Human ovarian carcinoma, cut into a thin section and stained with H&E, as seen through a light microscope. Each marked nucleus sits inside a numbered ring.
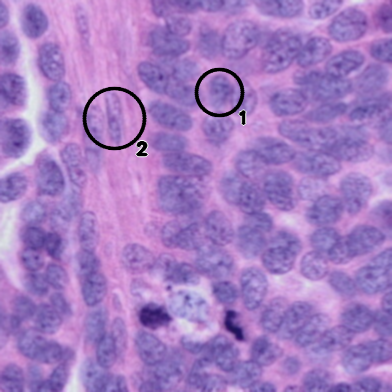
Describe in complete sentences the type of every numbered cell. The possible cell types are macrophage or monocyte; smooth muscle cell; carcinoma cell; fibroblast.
Cell 1 is a carcinoma cell and cell 2 is a fibroblast.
